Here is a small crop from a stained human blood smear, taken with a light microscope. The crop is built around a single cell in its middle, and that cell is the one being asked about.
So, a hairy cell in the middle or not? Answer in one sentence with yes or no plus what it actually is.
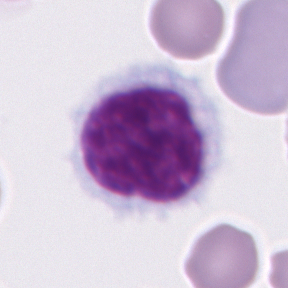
Yes, the cell shown centrally is a hairy cell.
